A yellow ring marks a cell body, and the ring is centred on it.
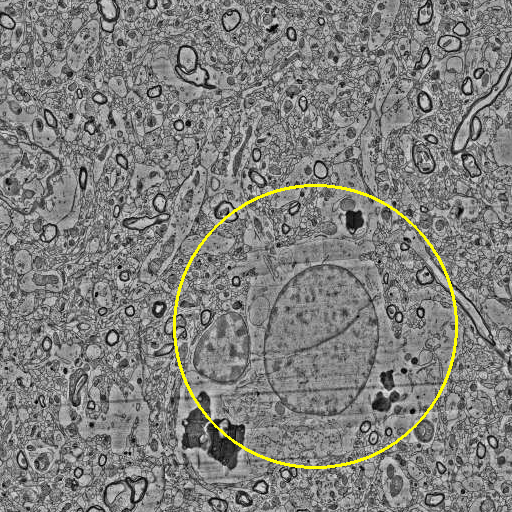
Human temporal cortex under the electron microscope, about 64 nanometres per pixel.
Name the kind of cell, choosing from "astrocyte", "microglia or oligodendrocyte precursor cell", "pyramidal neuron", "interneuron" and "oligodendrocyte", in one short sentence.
The marked cell body belongs to an astrocyte.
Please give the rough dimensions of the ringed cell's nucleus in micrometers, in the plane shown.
The nucleus comes to roughly 10 by 7 micrometres in this plane.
